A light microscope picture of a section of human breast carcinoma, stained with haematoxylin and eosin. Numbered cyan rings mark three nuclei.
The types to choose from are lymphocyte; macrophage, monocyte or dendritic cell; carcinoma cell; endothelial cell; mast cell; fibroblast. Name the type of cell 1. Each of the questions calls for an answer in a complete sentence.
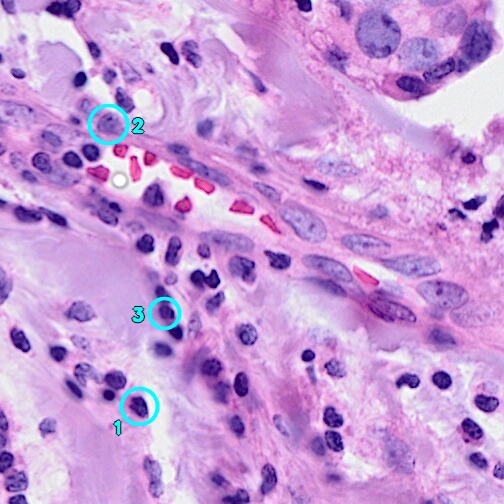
The correct label for cell 1 is a lymphocyte.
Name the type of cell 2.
The cell to which the number 2 is assigned is an endothelial cell.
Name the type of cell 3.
Here the cell numbered 3 is a lymphocyte.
